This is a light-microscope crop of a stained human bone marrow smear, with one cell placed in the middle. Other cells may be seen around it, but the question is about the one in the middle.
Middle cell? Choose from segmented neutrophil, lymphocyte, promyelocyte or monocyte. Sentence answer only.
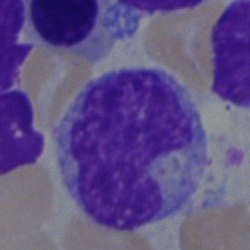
The cell centred in this crop is categorized as a monocyte.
